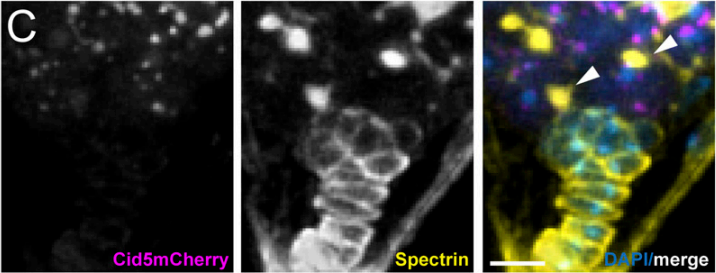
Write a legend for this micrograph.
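The apical tip of the germarium is seen, with a column of flattened, stacked cells outlined by yellow rings at the bottom and rounder cells with blue nuclei above it. Among the upper cells lie bright, round yellow dots, spectrosomes, and small magenta dots sit within the nuclei there.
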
